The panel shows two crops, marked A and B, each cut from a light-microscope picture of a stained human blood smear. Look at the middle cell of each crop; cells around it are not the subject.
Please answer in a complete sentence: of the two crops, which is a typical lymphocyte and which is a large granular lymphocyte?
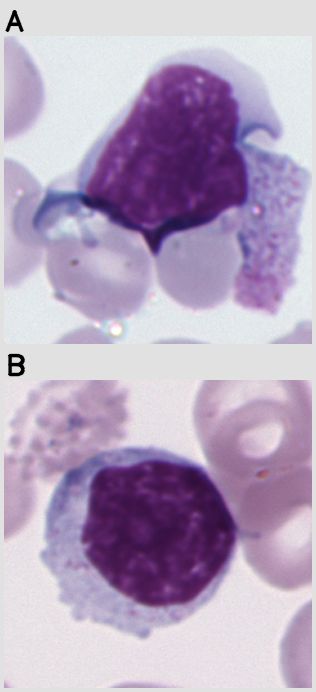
Crop A is labelled a large granular lymphocyte, and crop B is labelled a typical lymphocyte.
